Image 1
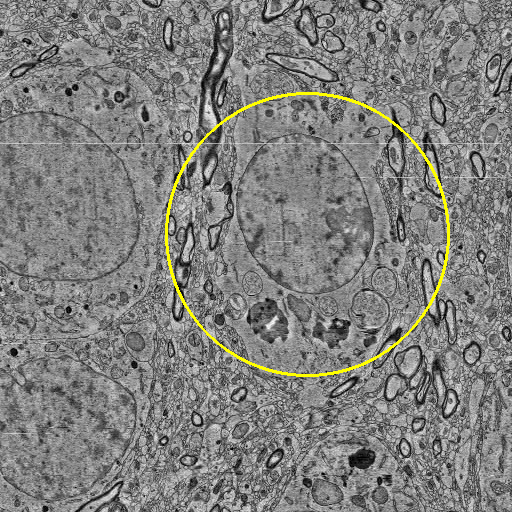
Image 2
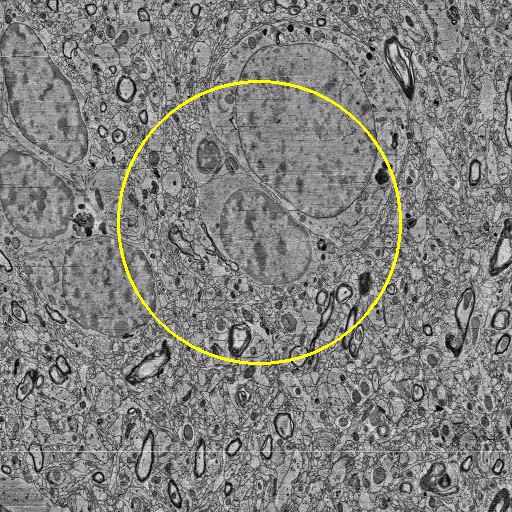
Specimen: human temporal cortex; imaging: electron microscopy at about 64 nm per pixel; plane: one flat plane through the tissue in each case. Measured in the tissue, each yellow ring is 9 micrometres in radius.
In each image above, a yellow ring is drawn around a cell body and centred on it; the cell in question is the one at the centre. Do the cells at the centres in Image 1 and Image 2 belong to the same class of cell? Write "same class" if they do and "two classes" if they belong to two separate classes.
two classes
